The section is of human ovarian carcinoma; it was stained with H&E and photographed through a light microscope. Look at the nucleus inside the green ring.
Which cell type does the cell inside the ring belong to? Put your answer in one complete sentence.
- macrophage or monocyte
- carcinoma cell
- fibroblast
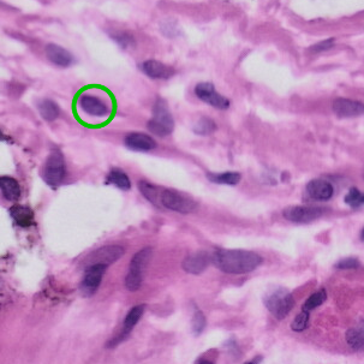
Cytologically, the cell inside the ring is to be regarded as a fibroblast.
